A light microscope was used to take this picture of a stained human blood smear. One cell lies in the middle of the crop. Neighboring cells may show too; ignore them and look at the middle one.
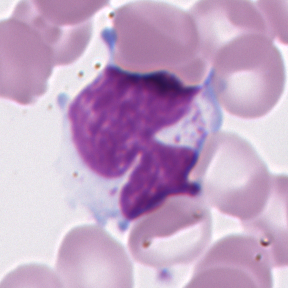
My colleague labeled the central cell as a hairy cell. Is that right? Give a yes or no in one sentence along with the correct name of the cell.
No, the cell at the centre is categorised not as a hairy cell but as a large granular lymphocyte.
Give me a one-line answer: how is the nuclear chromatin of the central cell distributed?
The chromatin pattern is fine and free of coarse clumps.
